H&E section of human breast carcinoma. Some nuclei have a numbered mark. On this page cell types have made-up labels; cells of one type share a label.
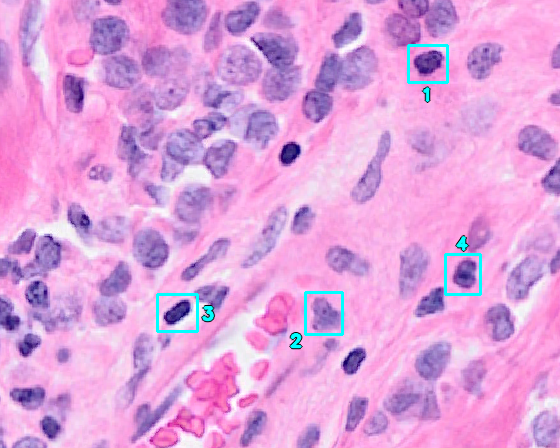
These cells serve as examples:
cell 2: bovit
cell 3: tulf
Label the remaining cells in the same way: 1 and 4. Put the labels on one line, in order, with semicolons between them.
tulf; tulf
